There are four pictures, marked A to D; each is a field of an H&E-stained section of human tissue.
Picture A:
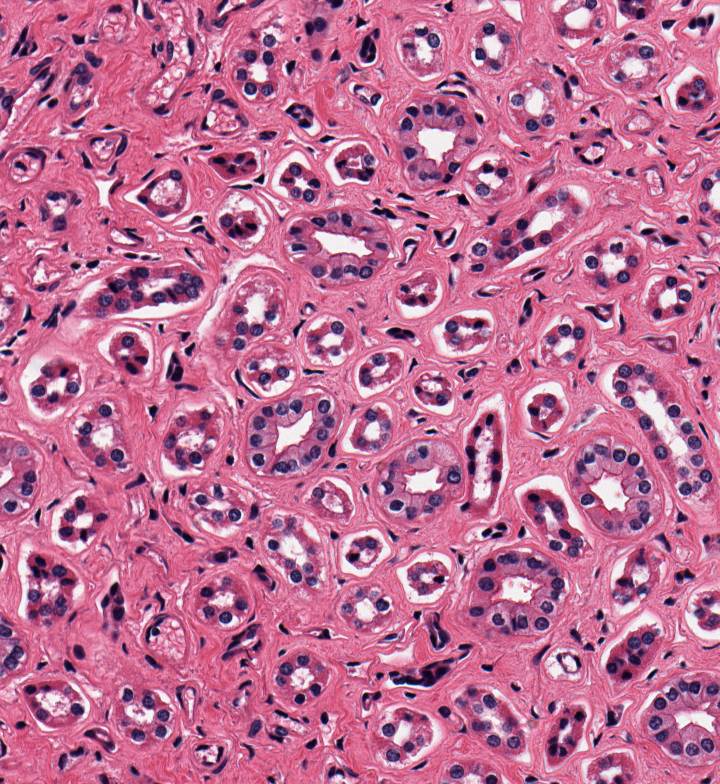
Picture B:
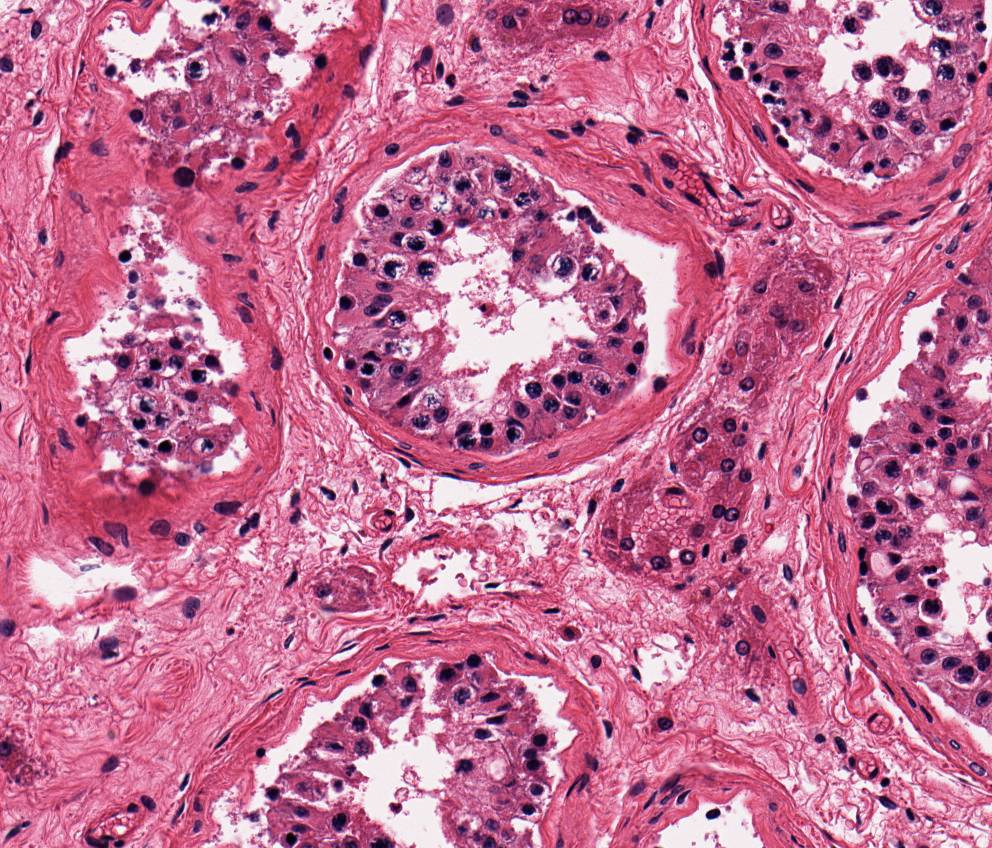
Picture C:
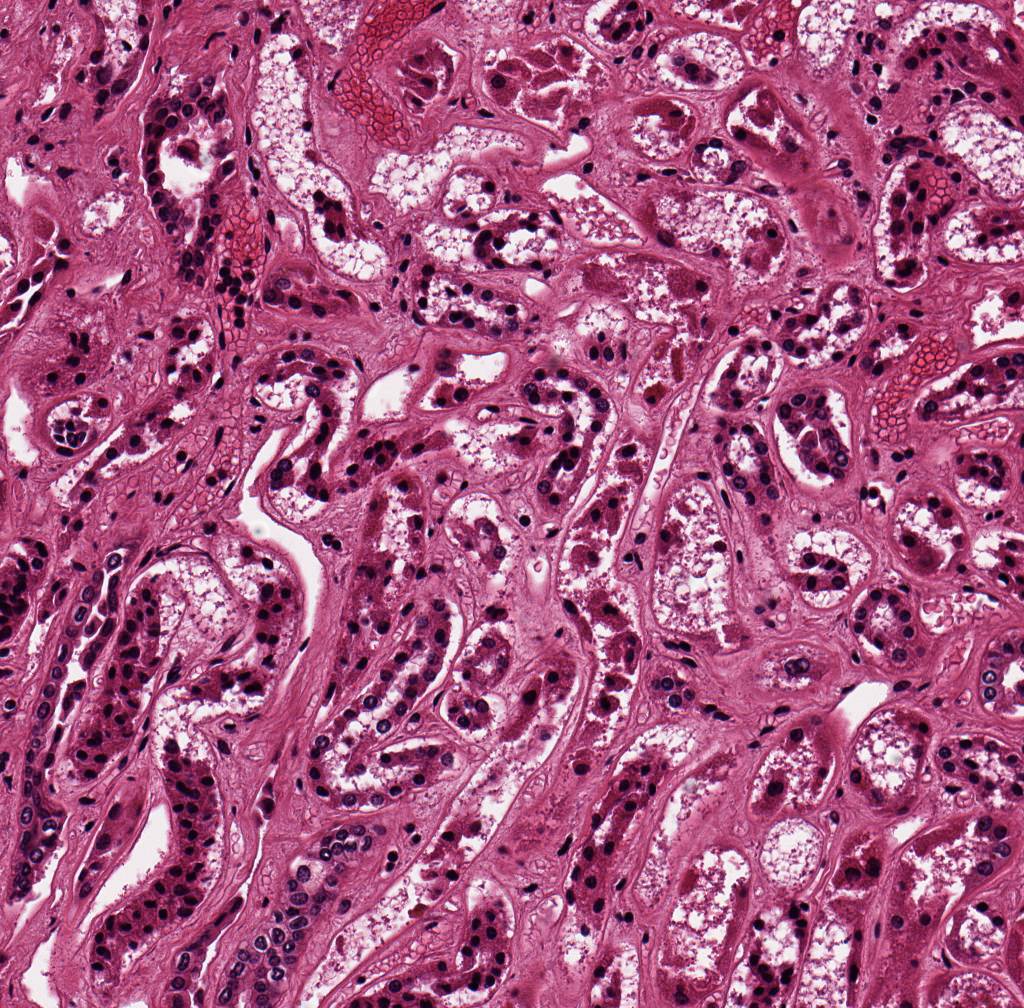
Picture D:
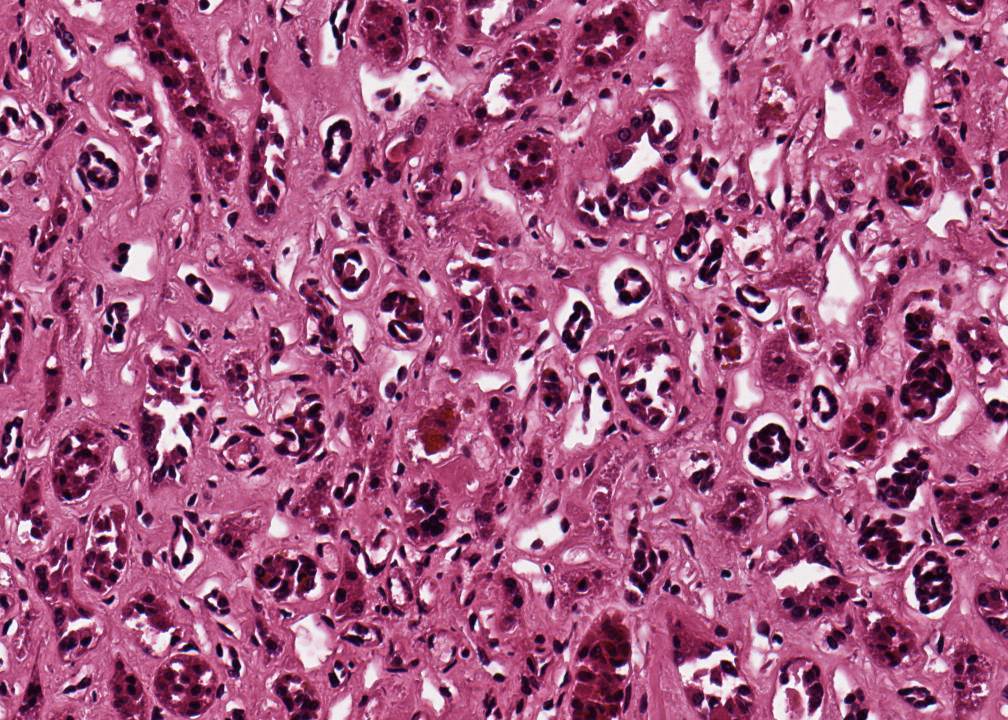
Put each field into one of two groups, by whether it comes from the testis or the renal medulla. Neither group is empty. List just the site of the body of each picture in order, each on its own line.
renal medulla
testis
renal medulla
renal medulla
